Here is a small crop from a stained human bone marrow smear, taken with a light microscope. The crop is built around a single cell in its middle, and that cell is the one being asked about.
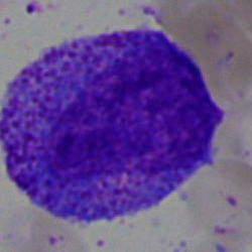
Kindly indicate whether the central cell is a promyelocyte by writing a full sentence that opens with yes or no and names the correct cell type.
Yes, the cell in the middle of the crop is a promyelocyte.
